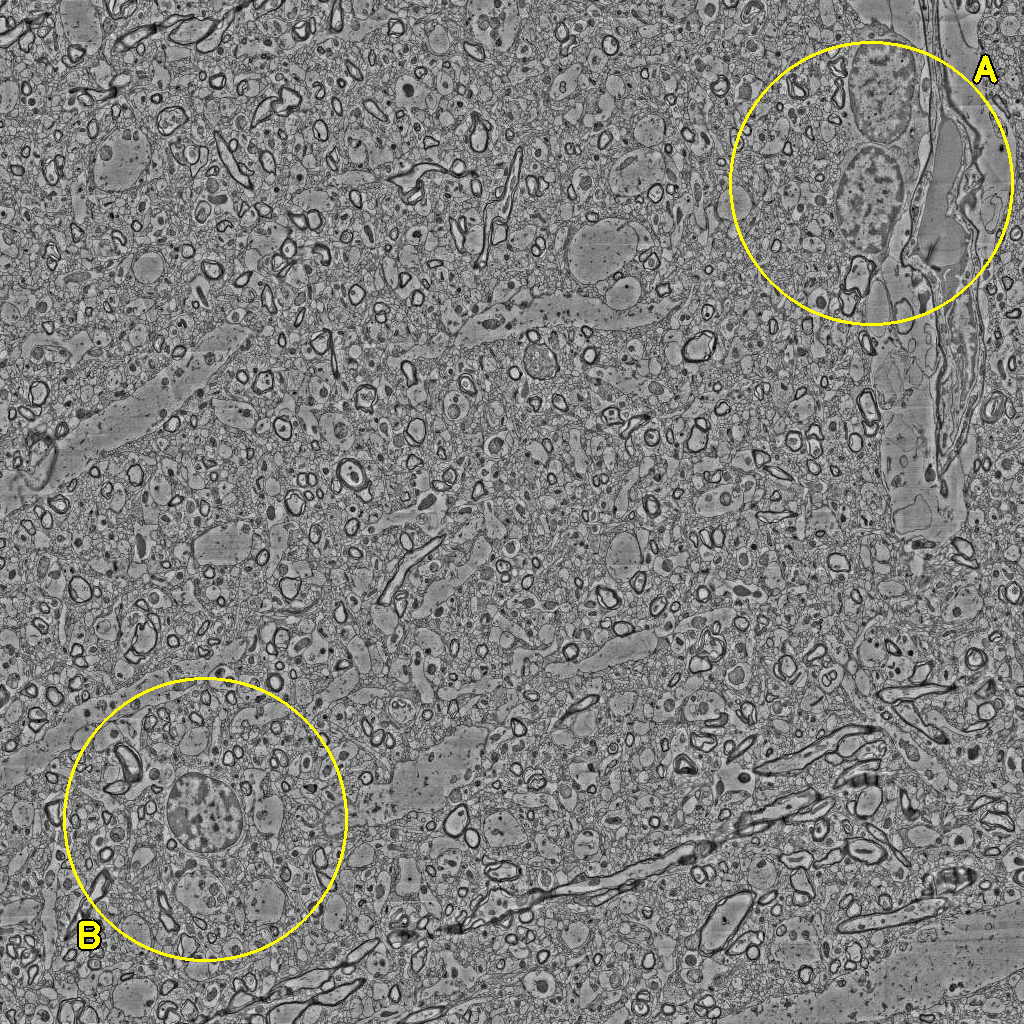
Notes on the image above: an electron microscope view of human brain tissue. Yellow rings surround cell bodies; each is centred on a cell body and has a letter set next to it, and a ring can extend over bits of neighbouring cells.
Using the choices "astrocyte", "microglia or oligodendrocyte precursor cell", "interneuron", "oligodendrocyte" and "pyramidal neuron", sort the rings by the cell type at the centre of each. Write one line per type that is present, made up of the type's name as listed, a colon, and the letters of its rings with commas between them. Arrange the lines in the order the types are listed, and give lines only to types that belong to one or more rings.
microglia or oligodendrocyte precursor cell: B
oligodendrocyte: A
